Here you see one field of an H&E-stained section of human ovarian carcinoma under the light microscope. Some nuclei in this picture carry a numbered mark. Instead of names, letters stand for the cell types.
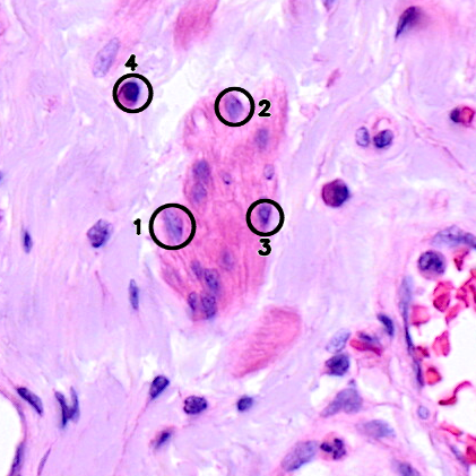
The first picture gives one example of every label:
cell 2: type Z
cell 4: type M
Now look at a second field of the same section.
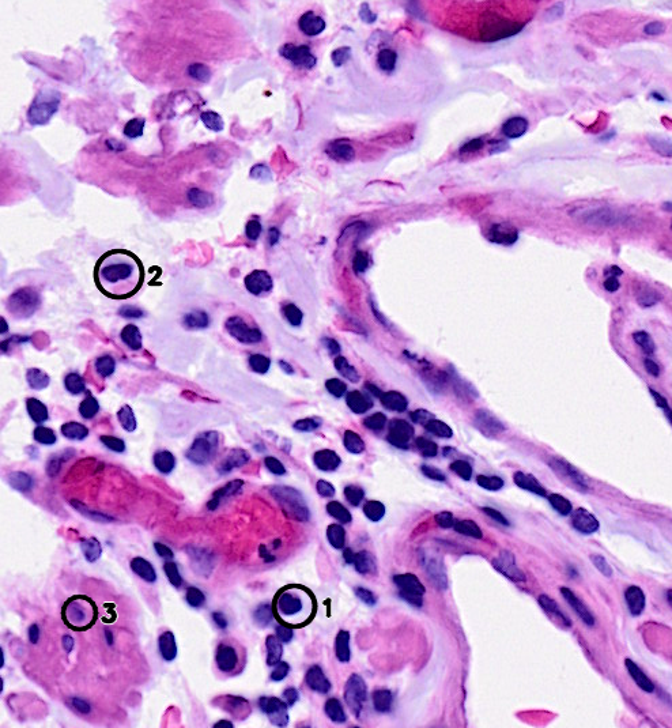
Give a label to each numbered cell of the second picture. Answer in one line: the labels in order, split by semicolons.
type M; type M; type Z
